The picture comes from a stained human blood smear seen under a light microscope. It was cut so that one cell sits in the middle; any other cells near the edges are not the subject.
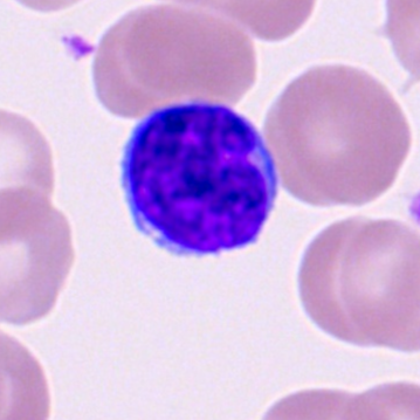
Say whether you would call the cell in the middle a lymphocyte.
yes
